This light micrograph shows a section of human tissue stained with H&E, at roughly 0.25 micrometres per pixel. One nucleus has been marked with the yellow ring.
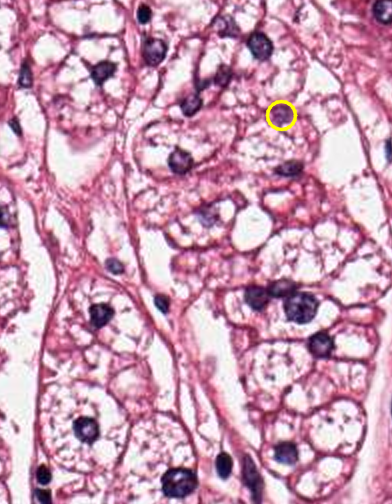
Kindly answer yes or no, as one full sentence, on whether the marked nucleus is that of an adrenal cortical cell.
Yes, the cell containing the marked nucleus is an adrenal cortical cell.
